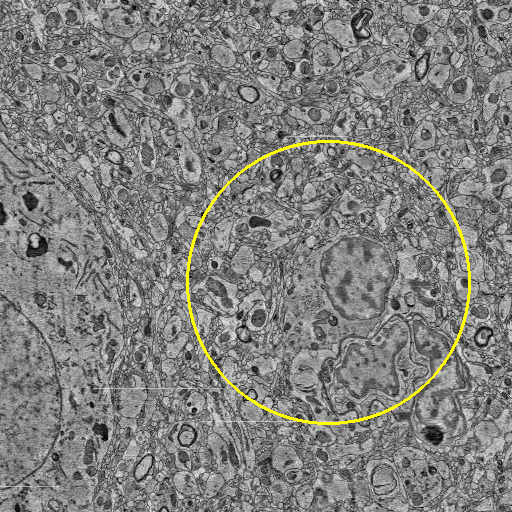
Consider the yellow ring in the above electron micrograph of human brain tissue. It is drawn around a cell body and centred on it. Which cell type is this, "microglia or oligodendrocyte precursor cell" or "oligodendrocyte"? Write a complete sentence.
The cell in question is an oligodendrocyte.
